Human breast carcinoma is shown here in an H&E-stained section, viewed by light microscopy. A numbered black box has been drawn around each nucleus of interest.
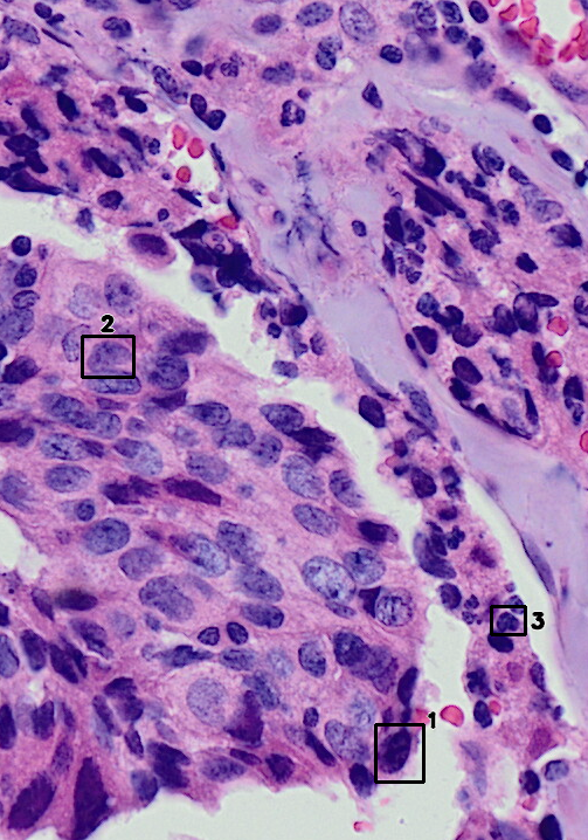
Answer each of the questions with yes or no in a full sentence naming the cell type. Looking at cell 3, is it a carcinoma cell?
No, the cell given number 3 is a lymphocyte, as opposed to a carcinoma cell.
